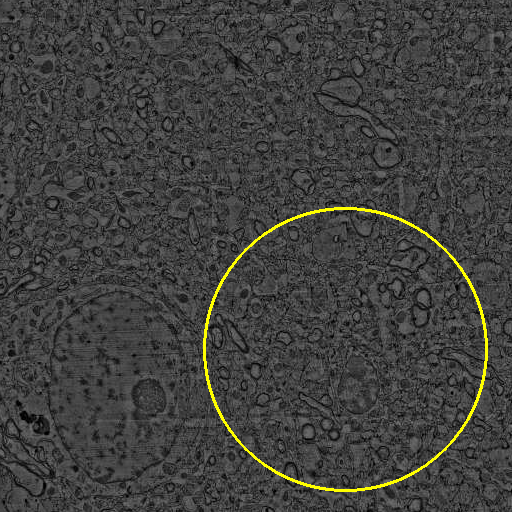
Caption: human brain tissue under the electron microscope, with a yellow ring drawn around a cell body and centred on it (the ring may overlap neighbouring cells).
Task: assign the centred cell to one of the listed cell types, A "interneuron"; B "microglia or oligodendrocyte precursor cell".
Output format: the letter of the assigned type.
B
